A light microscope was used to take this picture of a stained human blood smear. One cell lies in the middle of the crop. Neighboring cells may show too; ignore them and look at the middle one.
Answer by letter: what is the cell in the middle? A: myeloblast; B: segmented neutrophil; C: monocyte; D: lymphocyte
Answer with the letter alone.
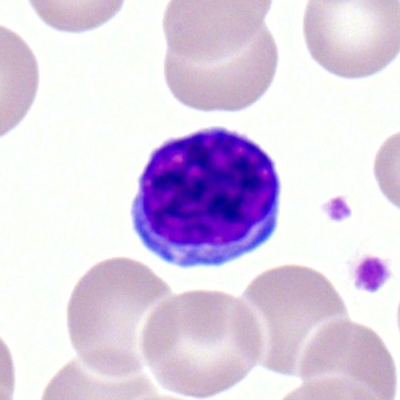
D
